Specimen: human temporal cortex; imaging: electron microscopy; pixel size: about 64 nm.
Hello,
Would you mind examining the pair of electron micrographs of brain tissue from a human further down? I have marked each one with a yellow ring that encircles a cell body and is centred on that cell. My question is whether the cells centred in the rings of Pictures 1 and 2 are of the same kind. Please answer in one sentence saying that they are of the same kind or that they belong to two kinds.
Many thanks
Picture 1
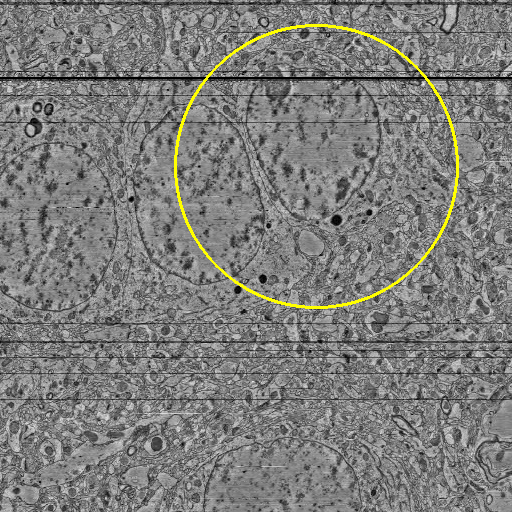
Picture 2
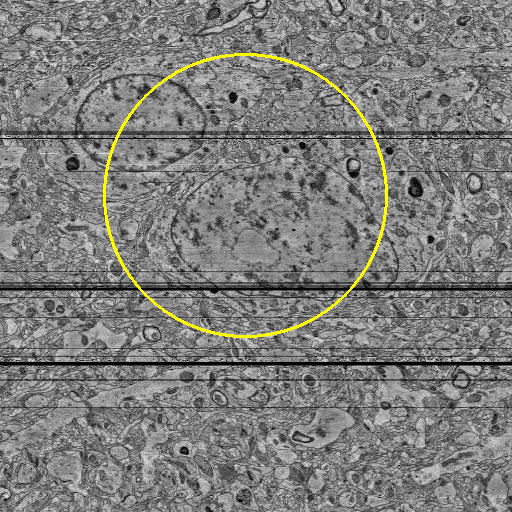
In Pictures 1 and 2, the cells at the heart of the rings are of the same kind.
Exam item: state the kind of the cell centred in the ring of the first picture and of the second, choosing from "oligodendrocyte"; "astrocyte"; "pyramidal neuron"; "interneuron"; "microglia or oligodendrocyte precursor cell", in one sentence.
Both rings mark a pyramidal neuron, one in each picture.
